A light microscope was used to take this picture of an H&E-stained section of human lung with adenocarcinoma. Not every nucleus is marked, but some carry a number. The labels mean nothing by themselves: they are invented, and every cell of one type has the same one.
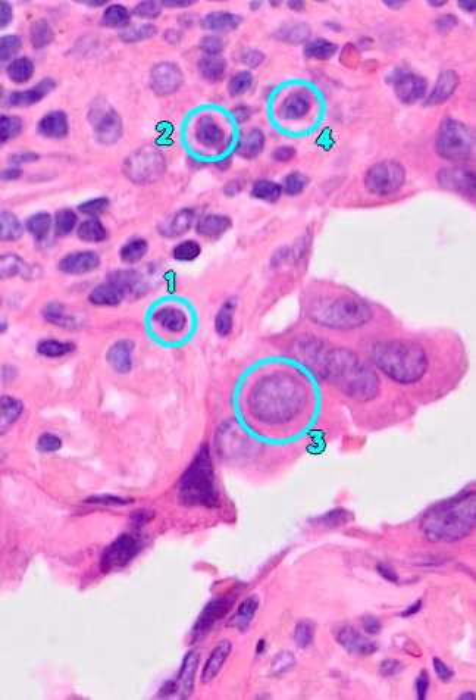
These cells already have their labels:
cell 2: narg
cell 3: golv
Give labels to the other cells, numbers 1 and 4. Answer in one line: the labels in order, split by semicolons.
narg; narg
